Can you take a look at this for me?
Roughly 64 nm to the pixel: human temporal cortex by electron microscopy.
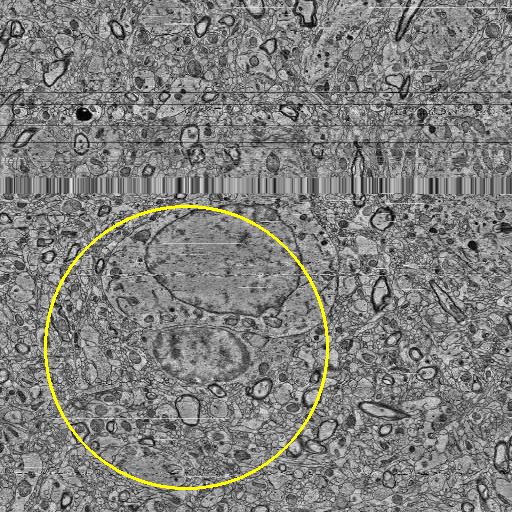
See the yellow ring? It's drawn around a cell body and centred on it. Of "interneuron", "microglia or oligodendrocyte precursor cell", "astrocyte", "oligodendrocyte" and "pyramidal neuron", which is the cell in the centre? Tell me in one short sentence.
The one in the centre is an oligodendrocyte.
